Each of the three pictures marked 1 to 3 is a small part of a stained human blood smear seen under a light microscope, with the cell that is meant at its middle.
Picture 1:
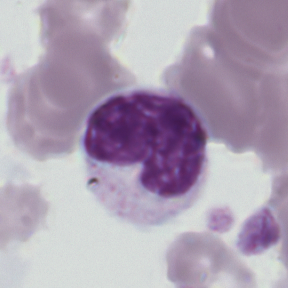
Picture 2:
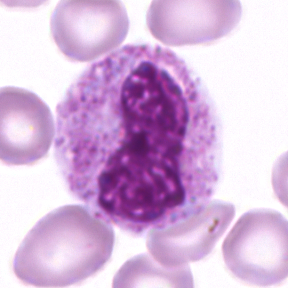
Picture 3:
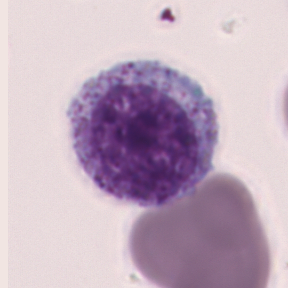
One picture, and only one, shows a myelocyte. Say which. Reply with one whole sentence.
Picture 3 shows the myelocyte.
